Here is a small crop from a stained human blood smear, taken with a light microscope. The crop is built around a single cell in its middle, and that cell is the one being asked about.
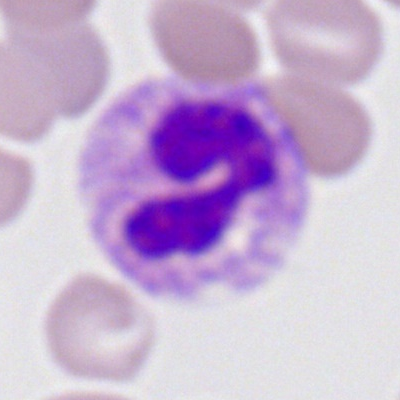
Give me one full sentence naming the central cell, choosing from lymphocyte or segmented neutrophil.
Centrally within this crop lies a segmented neutrophil.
